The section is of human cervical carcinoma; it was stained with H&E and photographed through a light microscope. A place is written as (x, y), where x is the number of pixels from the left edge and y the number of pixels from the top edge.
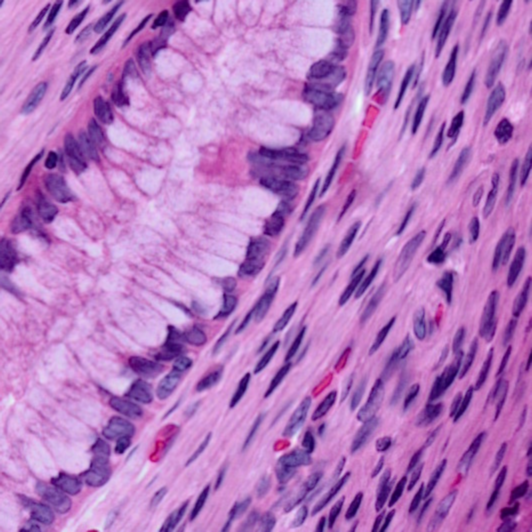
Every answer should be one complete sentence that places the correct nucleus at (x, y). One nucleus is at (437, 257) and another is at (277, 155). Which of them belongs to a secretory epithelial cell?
Of the two, the nucleus at (277, 155) is the one contained in a secretory epithelial cell.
